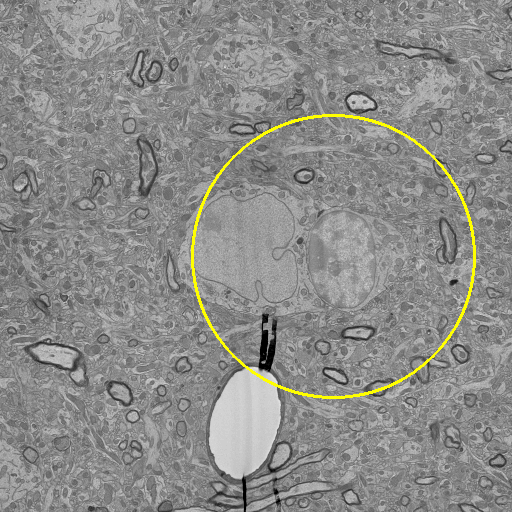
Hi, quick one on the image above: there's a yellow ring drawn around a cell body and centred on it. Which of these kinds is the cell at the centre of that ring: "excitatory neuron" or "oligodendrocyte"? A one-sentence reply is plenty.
The cell at the centre of the ring is an oligodendrocyte.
